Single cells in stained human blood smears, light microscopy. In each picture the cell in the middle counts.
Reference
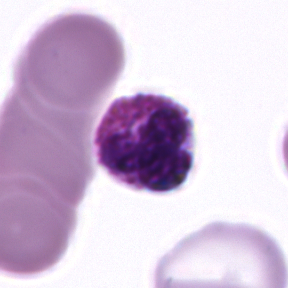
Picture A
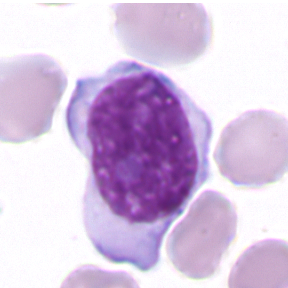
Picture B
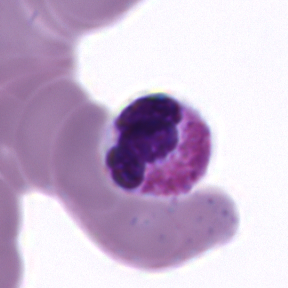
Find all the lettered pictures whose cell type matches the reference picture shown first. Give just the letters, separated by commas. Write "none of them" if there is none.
B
